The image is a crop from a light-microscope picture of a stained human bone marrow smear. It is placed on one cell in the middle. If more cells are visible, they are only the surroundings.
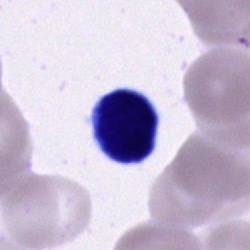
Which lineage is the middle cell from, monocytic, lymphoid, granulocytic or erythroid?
lymphoid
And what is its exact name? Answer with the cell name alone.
lymphocyte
